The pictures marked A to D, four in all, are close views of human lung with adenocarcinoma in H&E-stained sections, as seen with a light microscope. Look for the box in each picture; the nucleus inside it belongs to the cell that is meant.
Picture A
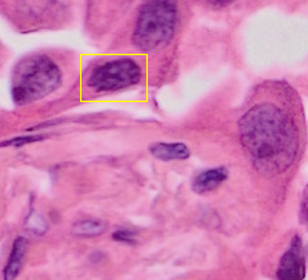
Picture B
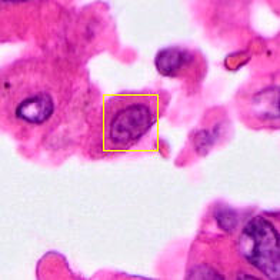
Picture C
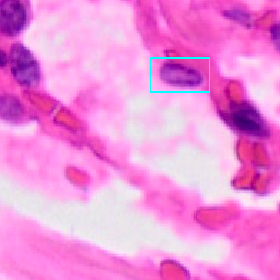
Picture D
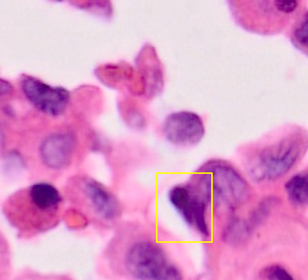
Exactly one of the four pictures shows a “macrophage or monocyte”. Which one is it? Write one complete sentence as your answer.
The cell in picture B is the “macrophage or monocyte”.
